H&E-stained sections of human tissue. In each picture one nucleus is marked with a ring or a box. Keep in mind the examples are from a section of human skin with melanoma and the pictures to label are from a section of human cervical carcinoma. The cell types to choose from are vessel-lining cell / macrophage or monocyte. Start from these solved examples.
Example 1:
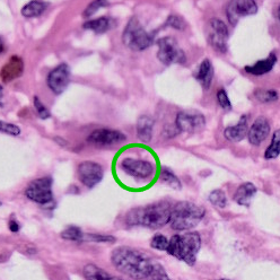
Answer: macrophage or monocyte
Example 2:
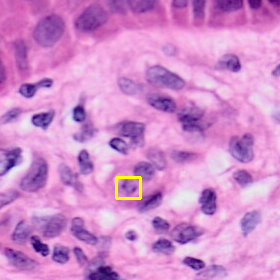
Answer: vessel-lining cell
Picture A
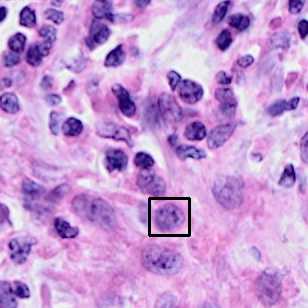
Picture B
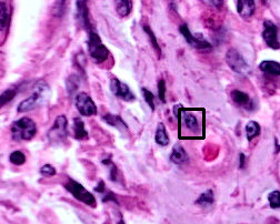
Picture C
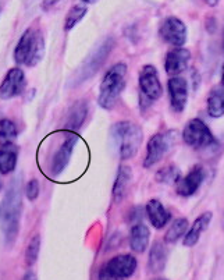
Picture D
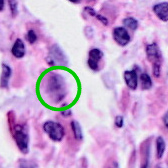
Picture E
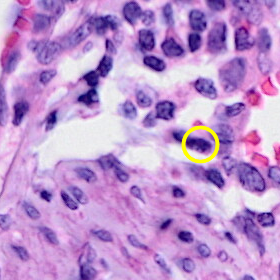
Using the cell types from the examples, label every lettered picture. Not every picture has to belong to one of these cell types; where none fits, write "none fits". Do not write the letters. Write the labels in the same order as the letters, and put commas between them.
macrophage or monocyte, vessel-lining cell, vessel-lining cell, macrophage or monocyte, none fits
